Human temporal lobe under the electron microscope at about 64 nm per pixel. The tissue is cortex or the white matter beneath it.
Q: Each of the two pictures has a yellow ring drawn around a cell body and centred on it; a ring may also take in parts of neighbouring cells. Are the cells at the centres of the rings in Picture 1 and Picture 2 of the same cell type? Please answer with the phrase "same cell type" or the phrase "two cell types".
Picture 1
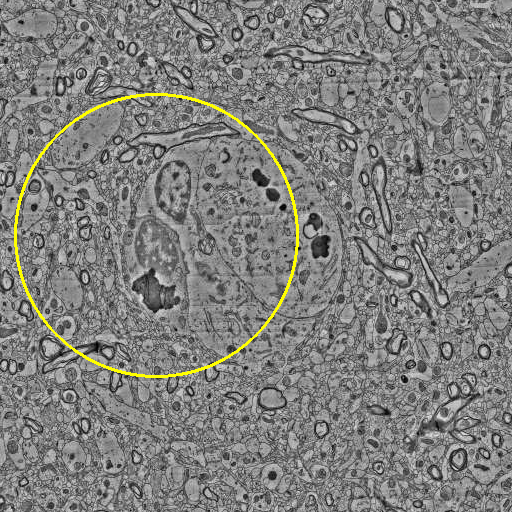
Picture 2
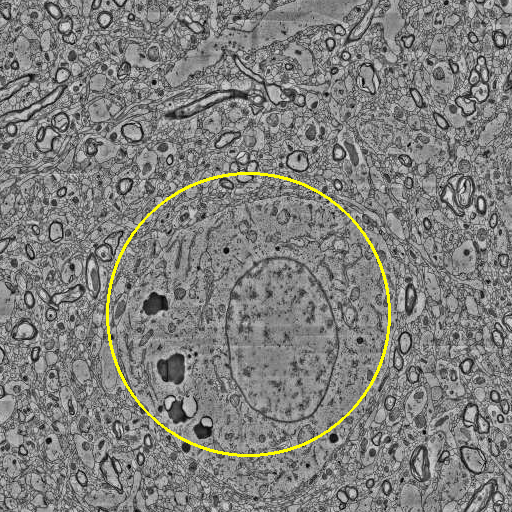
two cell types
